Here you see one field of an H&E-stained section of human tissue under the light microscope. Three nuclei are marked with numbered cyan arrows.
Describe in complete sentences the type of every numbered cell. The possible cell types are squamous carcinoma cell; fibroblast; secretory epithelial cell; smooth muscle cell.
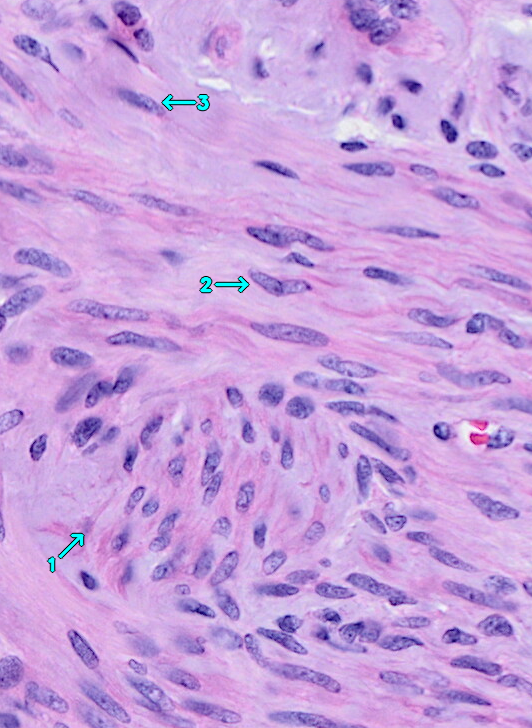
Cell 1 is a smooth muscle cell, cell 2 is a smooth muscle cell and cell 3 is a fibroblast.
